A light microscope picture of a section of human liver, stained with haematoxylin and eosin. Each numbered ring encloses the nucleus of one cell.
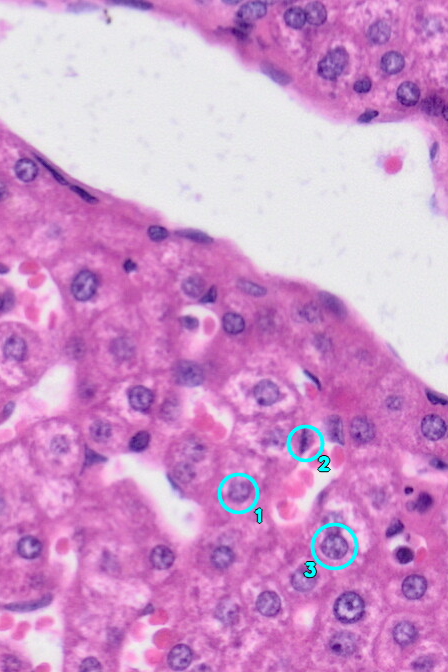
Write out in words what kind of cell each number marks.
Cell 1 is a hepatocyte, cell 2 is a fibroblast or stellate cell and cell 3 is a hepatocyte.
